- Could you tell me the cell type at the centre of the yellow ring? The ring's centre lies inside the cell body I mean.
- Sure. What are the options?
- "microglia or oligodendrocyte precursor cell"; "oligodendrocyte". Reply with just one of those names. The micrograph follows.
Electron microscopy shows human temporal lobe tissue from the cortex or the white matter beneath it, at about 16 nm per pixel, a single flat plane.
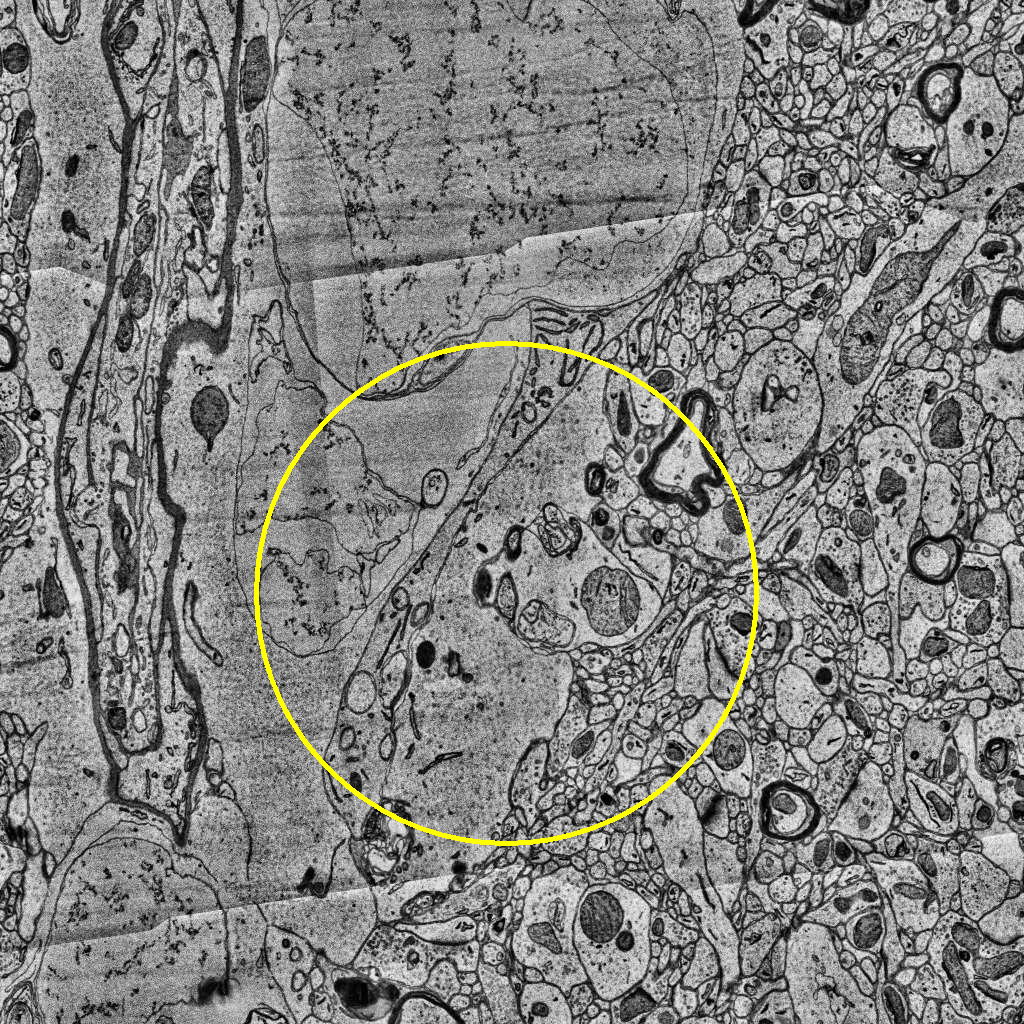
microglia or oligodendrocyte precursor cell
